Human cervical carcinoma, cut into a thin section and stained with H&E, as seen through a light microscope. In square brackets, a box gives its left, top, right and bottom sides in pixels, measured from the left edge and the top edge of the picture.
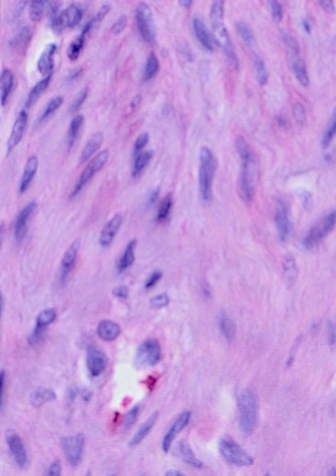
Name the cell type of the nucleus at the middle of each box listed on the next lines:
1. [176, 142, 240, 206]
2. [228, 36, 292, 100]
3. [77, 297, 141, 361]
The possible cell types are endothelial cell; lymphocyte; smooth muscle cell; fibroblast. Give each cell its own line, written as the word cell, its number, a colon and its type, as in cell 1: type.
cell 1: fibroblast
cell 2: smooth muscle cell
cell 3: endothelial cell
